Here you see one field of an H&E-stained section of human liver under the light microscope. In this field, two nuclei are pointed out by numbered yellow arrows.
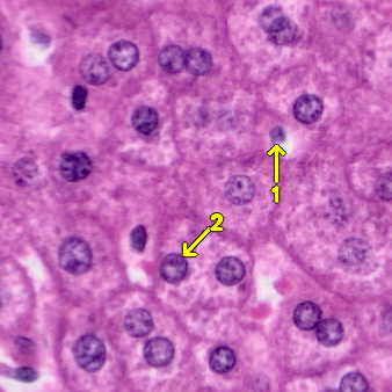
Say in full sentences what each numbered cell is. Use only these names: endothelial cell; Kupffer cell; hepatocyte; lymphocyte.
Cell 1 is a lymphocyte. Cell 2 is a hepatocyte.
